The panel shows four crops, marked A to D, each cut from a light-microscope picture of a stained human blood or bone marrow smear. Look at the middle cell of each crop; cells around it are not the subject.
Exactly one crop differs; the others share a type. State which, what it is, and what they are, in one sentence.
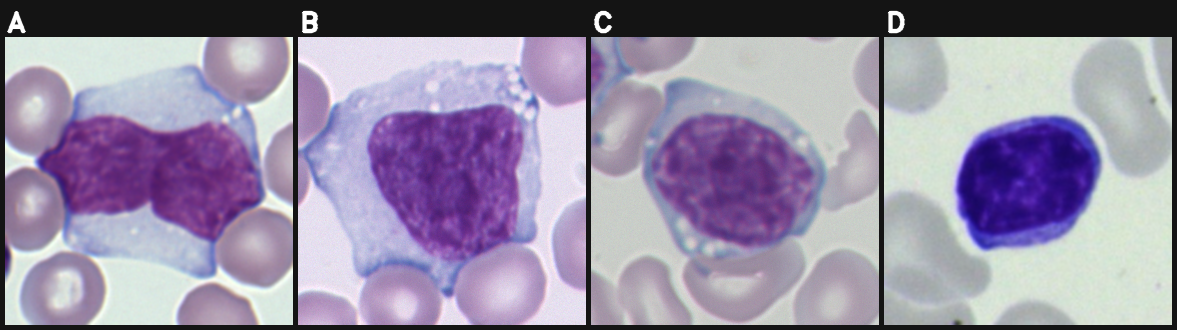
The different crop is crop D, a lymphocyte; all the others show blasts.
